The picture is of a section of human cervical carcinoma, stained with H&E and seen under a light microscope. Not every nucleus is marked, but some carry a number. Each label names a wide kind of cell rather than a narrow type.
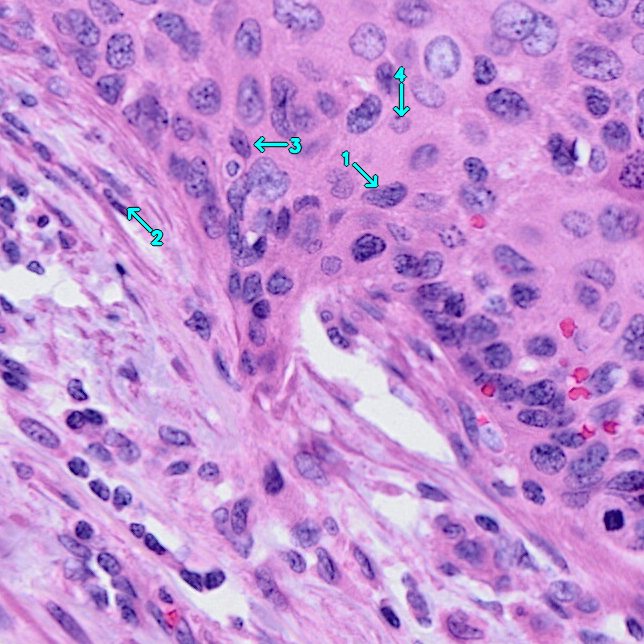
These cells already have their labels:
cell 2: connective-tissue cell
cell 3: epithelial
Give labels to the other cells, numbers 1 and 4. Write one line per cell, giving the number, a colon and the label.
1: epithelial
4: epithelial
